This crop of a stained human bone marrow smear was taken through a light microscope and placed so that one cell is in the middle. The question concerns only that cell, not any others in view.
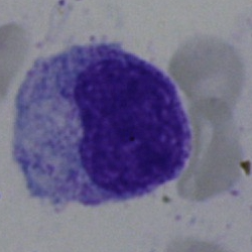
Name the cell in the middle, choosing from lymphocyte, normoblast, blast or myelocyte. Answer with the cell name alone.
myelocyte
